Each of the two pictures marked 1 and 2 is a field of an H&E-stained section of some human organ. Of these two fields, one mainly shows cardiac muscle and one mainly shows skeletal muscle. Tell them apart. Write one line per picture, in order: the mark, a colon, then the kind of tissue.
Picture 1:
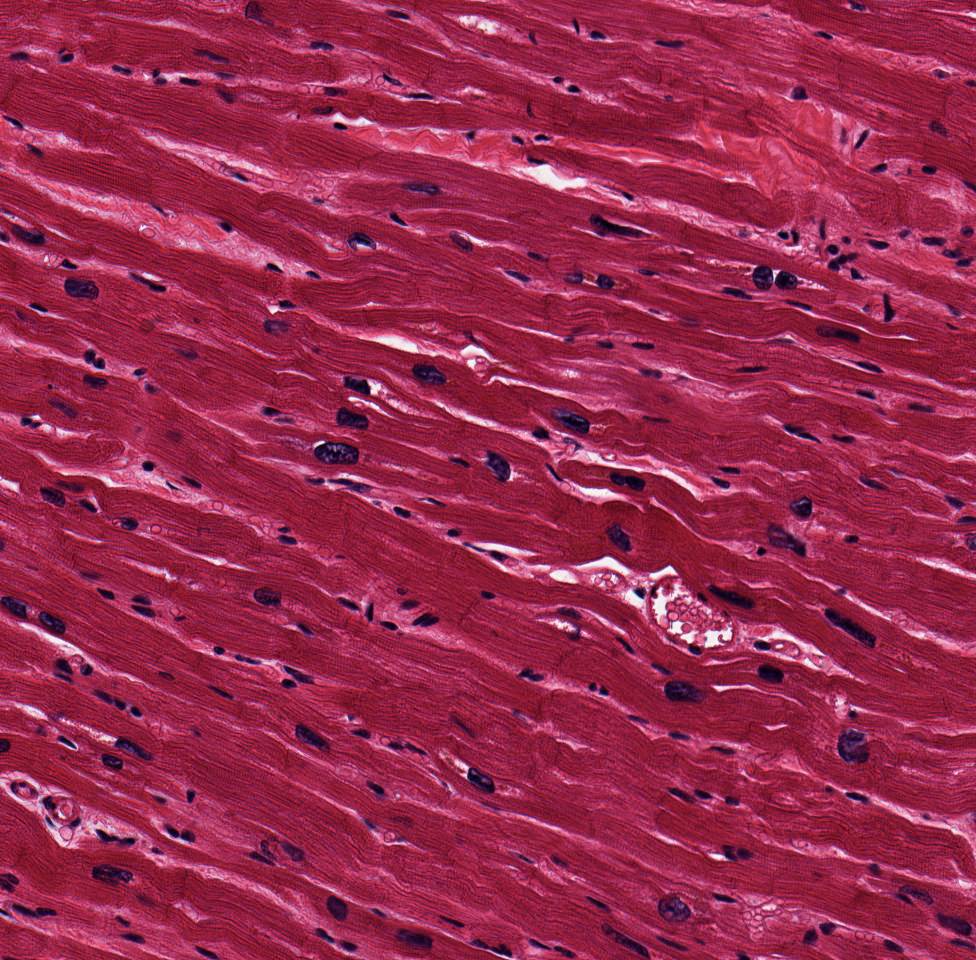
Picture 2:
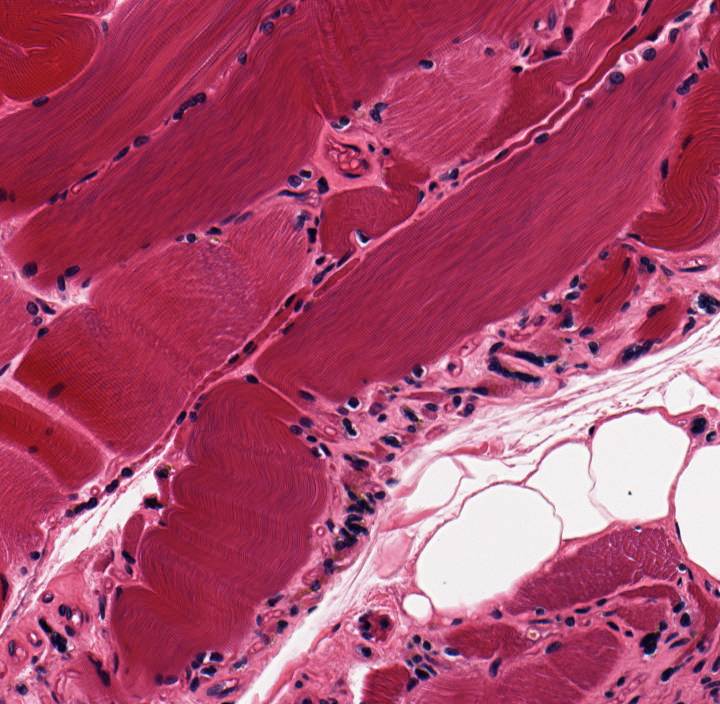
1: cardiac muscle
2: skeletal muscle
